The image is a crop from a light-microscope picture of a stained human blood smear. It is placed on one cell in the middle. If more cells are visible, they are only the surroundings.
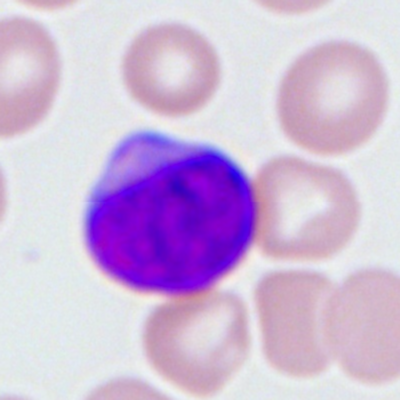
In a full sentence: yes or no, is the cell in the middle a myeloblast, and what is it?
Yes, the middle of the crop is occupied by a myeloblast.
